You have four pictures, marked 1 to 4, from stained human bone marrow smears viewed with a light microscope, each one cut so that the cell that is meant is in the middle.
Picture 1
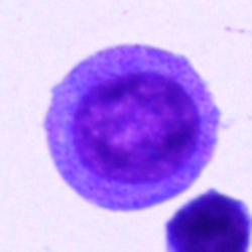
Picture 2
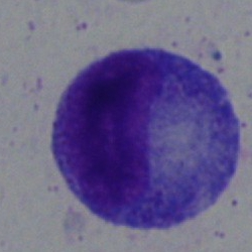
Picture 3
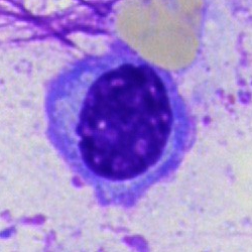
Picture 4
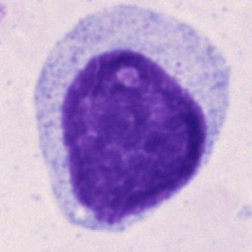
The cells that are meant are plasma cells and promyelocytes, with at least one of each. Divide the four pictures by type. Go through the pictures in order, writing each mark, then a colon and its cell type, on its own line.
1: promyelocyte
2: promyelocyte
3: plasma cell
4: promyelocyte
